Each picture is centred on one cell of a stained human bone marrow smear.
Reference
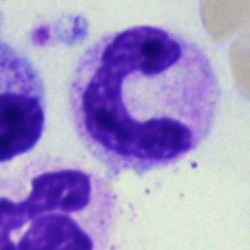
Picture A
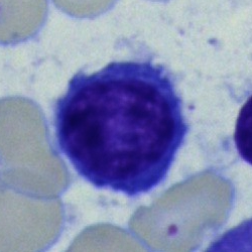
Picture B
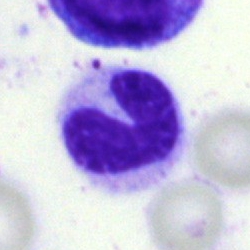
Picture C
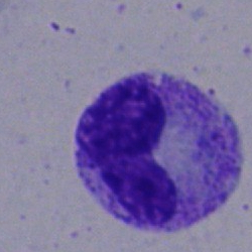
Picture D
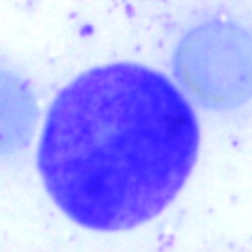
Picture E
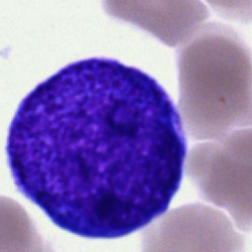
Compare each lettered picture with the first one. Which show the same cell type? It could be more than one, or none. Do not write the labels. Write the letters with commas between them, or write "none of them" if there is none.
B, C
